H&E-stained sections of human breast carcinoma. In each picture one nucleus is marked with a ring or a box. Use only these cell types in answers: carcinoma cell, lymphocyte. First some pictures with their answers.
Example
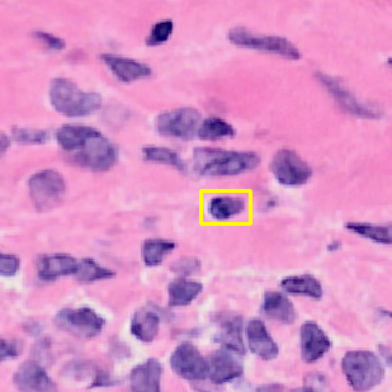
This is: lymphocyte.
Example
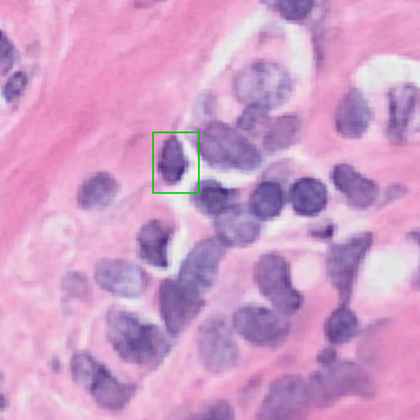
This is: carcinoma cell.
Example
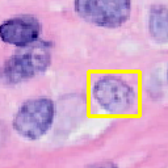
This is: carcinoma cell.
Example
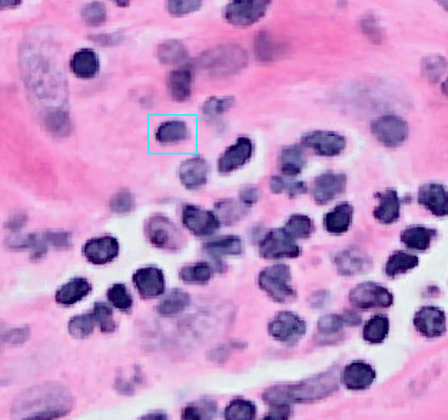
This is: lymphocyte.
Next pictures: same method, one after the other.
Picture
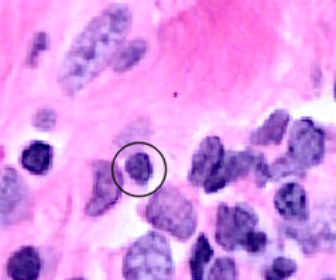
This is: lymphocyte.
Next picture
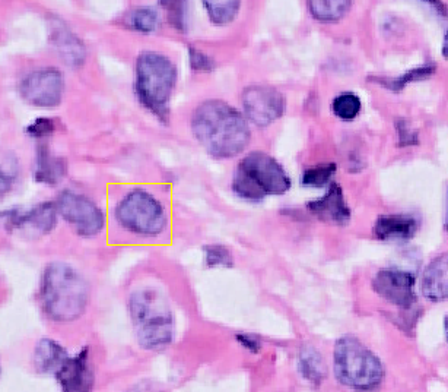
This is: carcinoma cell.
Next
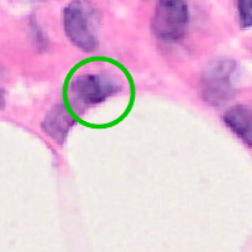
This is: carcinoma cell.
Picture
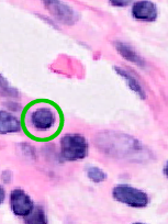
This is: lymphocyte.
